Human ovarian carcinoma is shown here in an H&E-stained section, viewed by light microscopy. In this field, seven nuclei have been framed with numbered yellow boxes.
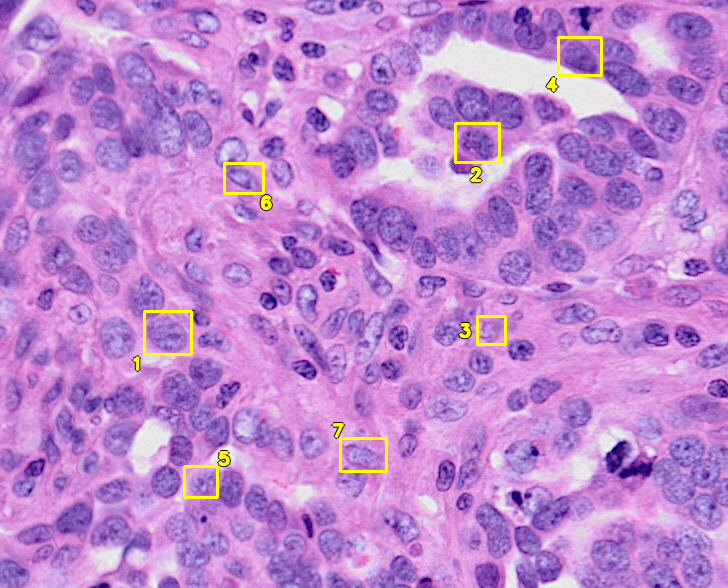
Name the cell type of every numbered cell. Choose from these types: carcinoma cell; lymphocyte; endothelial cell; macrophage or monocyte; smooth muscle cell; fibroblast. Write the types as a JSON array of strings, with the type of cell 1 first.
["carcinoma cell", "carcinoma cell", "endothelial cell", "carcinoma cell", "carcinoma cell", "fibroblast", "fibroblast"]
